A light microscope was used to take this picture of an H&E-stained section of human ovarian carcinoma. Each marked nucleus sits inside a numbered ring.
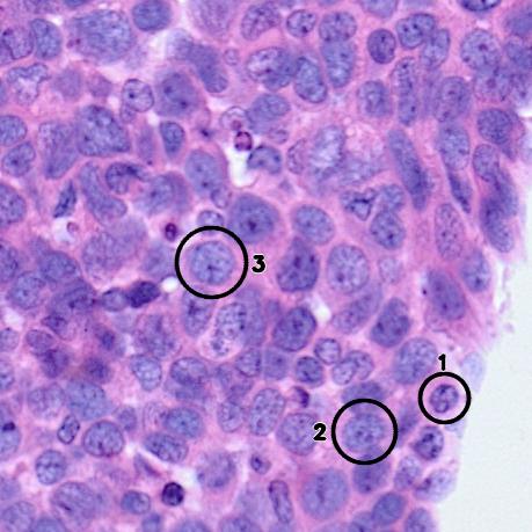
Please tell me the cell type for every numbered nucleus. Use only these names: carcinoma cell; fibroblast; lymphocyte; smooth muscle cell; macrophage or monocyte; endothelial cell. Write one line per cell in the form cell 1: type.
cell 1: macrophage or monocyte
cell 2: carcinoma cell
cell 3: carcinoma cell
